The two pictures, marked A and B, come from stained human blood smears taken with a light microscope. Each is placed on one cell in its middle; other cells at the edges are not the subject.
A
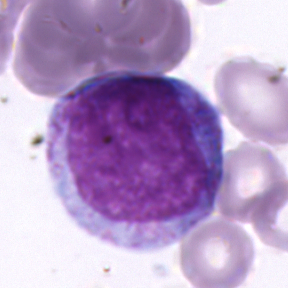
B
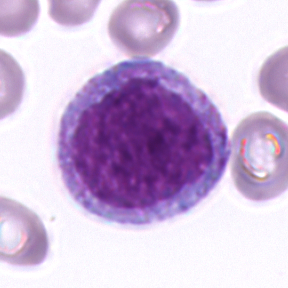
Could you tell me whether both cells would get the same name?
yes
